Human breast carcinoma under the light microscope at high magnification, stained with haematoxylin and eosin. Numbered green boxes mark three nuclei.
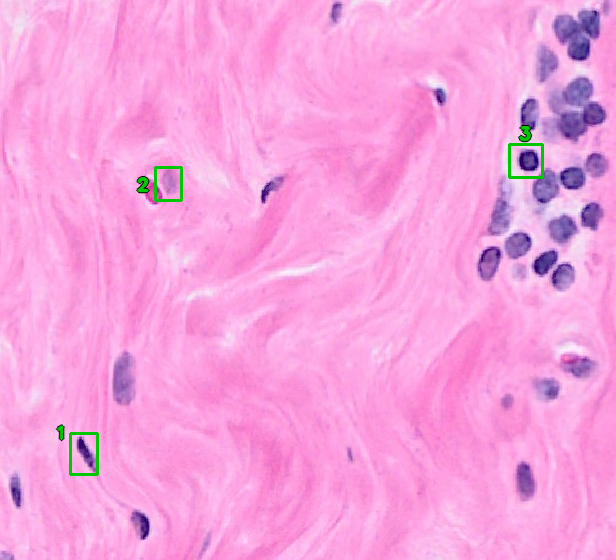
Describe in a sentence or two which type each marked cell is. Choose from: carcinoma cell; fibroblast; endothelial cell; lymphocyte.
Cell 1 is a fibroblast. Cell 2 is an endothelial cell. Cell 3 is a lymphocyte.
